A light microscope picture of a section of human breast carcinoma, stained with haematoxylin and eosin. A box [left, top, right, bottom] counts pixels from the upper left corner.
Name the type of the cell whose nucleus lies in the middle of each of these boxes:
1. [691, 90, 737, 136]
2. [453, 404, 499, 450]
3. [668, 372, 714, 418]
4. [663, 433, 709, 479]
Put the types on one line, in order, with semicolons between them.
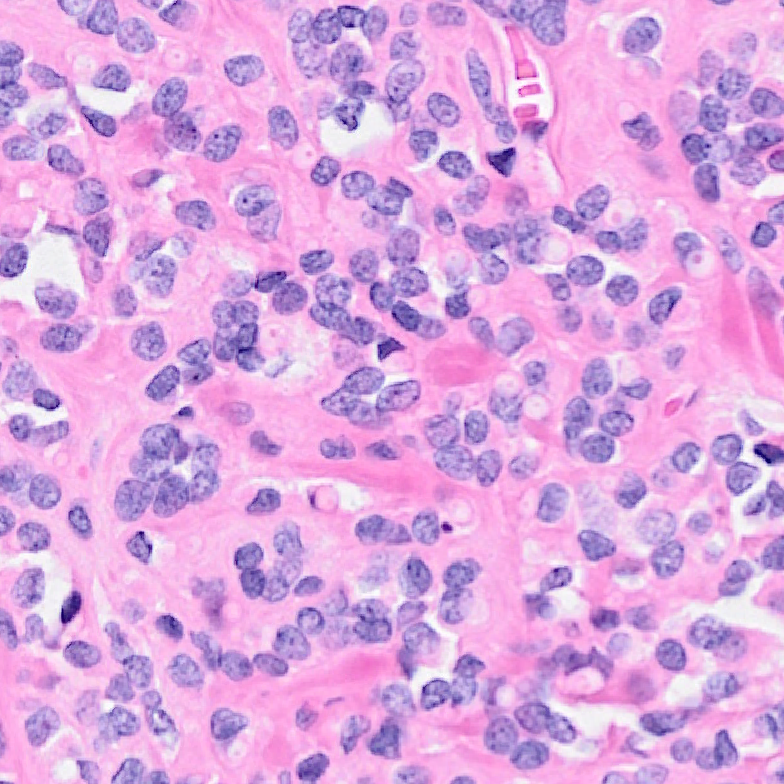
carcinoma cell; carcinoma cell; endothelial cell; carcinoma cell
